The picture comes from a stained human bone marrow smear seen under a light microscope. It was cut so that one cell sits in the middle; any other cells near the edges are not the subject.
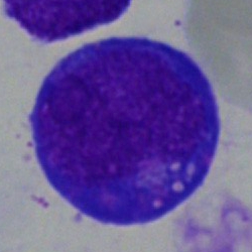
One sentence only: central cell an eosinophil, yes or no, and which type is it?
No, the cell placed at the center is a promyelocyte rather than an eosinophil.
